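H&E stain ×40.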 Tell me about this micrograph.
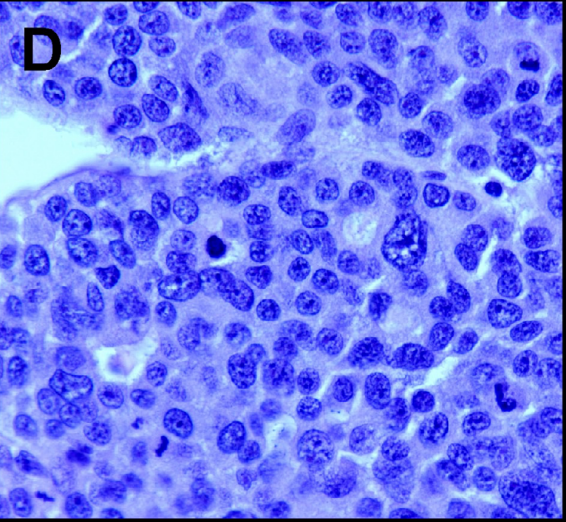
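Sheets of tumor cells with pleomorphic, centrally placed nuclei that vary in size and shape, with vesicular chromatin and nucleoli ranging from small to prominent. The cytoplasm is pale and scant to moderate in amount, and several dark mitotic figures, some irregular, are scattered among the cells.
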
